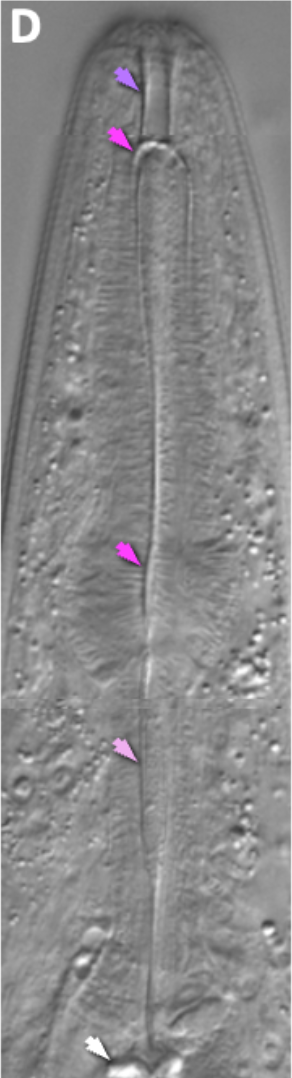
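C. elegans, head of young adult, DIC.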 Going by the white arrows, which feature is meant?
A: Grinder.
